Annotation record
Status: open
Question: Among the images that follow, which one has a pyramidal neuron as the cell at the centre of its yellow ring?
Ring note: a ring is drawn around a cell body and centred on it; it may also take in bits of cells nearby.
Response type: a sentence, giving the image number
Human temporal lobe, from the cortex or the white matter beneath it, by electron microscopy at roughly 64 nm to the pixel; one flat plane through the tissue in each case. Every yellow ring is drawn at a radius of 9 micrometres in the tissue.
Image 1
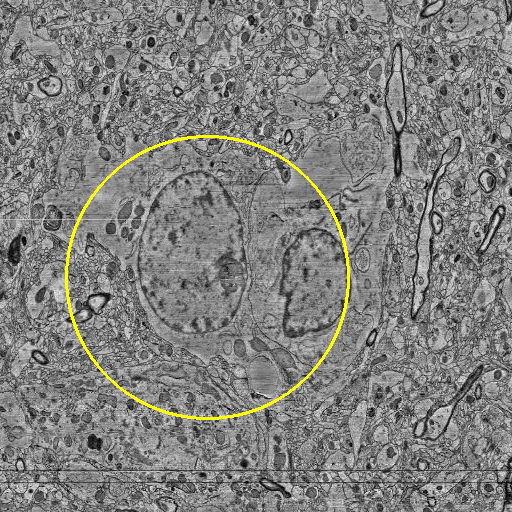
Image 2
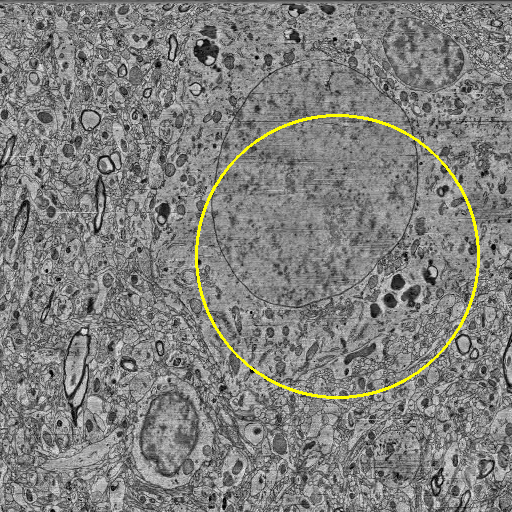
Image 2 shows it at the centre of its ring.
